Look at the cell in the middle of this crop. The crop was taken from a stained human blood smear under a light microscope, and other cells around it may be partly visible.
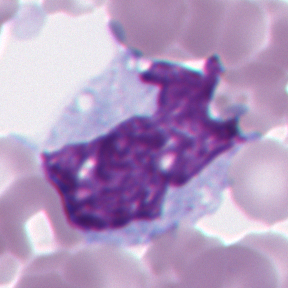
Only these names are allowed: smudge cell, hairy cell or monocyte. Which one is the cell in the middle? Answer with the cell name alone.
monocyte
